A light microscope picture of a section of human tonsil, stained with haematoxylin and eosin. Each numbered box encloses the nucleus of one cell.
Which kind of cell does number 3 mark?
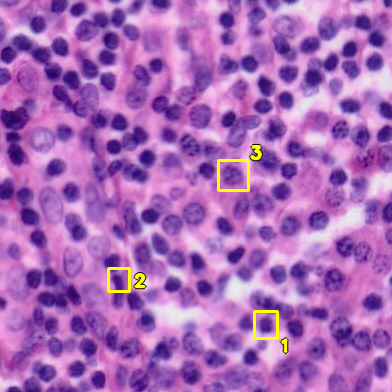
plasma cell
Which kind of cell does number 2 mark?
endothelial cell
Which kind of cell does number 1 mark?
small lymphocyte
